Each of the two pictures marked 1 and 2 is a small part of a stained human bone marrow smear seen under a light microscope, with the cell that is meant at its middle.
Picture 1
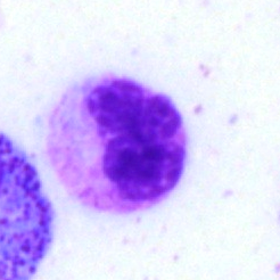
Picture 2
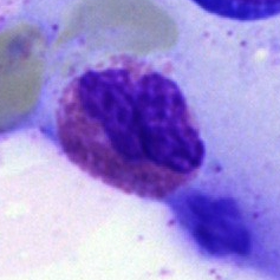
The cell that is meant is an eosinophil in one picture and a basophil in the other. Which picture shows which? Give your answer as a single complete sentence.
Picture 1 shows a basophil and picture 2 shows an eosinophil.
